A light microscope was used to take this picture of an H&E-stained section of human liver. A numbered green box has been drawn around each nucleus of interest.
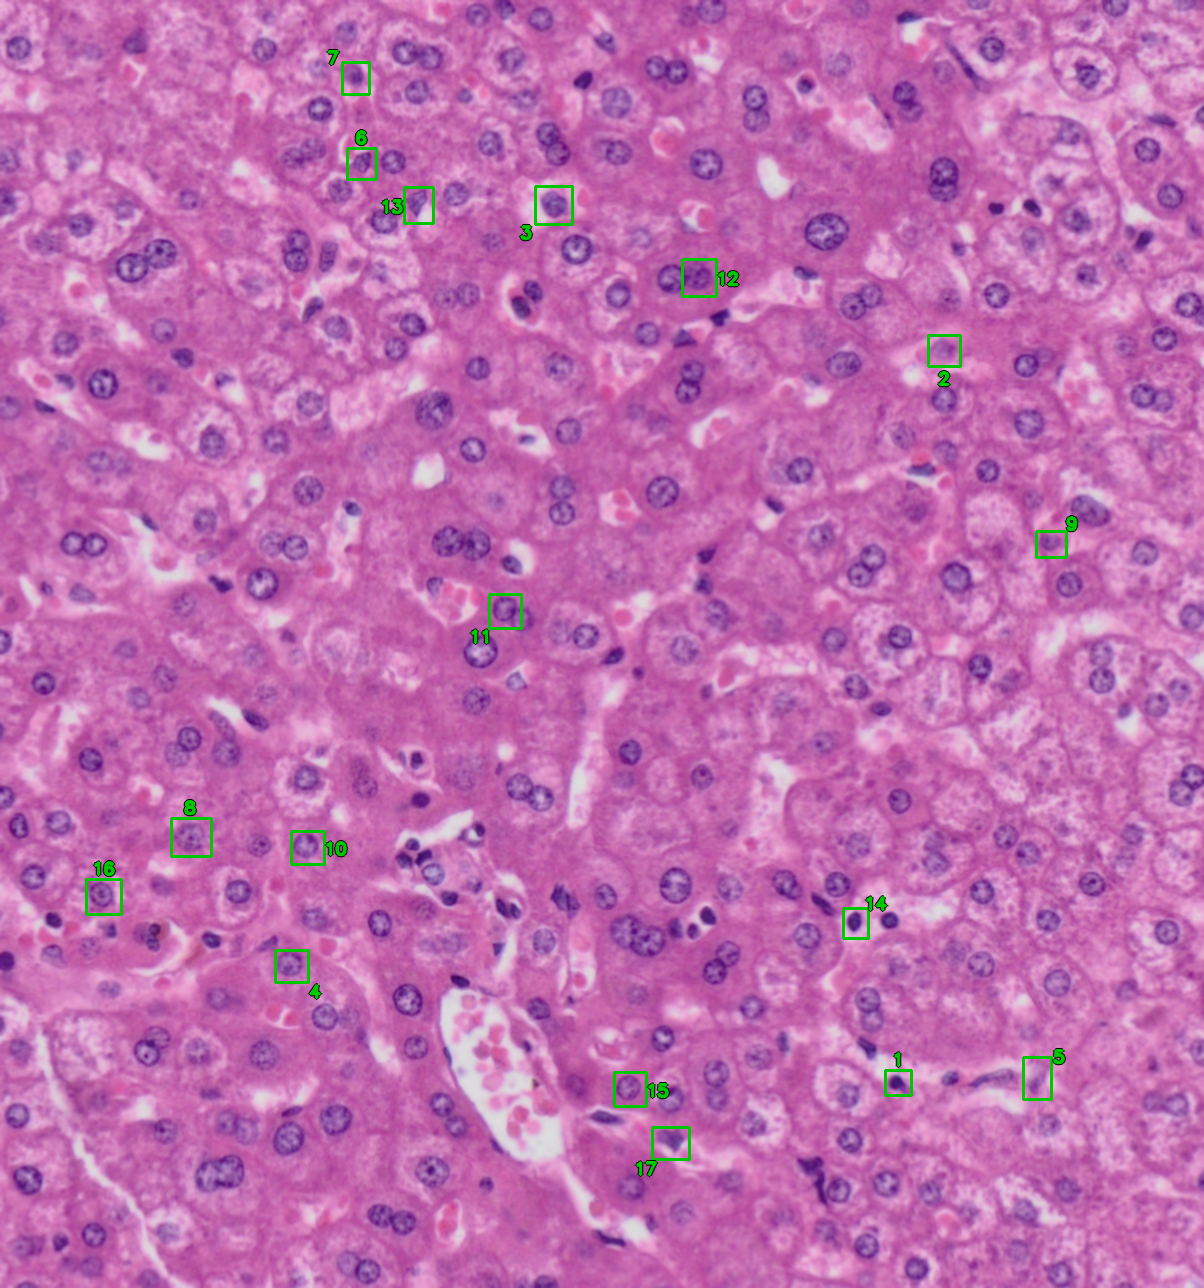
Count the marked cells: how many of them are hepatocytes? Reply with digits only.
7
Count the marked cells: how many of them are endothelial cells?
3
